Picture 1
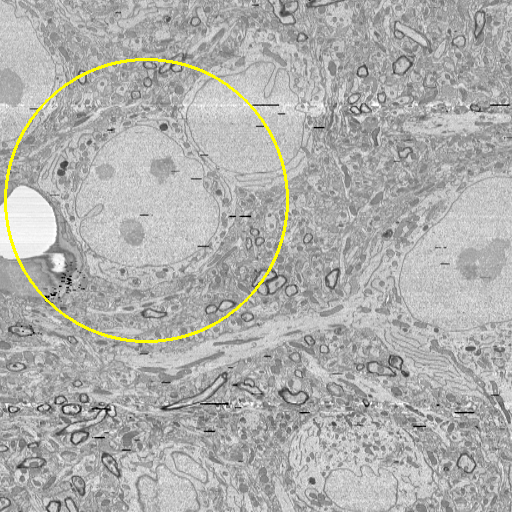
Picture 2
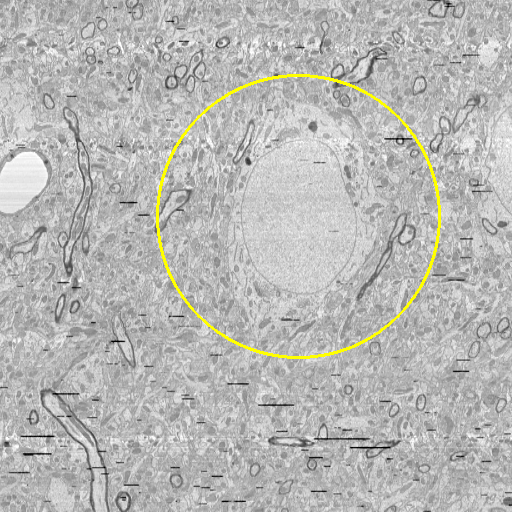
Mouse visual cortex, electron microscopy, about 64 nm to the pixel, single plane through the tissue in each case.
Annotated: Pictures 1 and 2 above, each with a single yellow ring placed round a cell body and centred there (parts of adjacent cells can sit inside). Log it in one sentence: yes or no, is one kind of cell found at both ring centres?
Yes, the ring centres of the two pictures hold cells of one kind.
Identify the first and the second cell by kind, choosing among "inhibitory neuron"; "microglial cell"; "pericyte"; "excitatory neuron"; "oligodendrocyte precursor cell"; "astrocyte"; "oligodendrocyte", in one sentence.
The ring centre holds an excitatory neuron in each of the two pictures.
